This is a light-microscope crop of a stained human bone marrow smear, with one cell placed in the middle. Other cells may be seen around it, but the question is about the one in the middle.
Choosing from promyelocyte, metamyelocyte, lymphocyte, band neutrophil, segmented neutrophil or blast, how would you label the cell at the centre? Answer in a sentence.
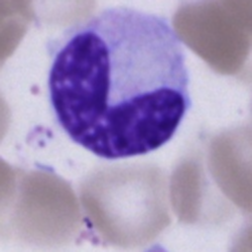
The cell marked by its central position in the crop is a band neutrophil.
